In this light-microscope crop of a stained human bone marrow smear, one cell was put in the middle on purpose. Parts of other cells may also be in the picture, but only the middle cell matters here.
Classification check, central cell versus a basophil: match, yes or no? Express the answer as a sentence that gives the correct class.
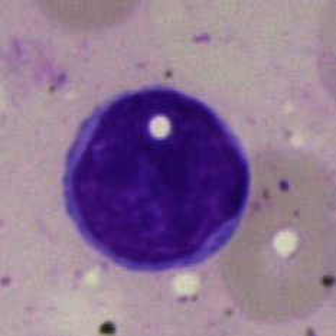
No, the cell in the middle of the field is a lymphocyte, not a basophil as suggested.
